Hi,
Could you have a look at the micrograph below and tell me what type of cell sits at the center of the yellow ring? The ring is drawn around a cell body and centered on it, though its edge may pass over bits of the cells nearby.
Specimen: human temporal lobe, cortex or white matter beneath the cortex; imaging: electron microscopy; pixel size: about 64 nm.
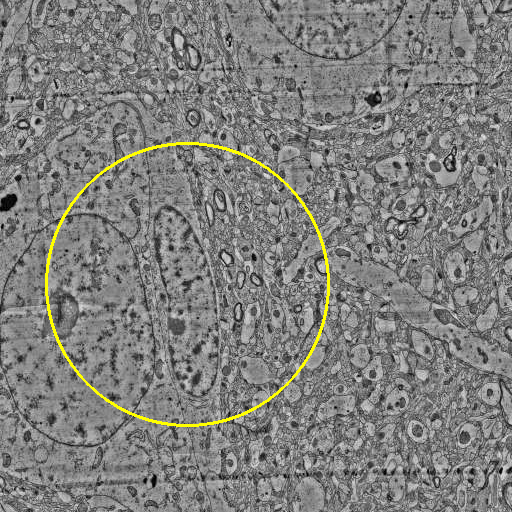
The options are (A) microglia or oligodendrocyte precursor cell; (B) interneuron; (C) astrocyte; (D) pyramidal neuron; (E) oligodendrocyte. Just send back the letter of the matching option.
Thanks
A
